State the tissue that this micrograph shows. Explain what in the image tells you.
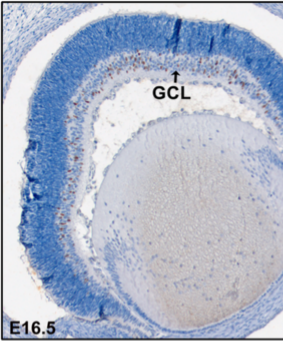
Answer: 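A thick cup-shaped layer of densely packed blue nuclei curves around a large round body. The round body in the centre is pale and sparsely nucleated, like a lens. The answer: retina.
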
